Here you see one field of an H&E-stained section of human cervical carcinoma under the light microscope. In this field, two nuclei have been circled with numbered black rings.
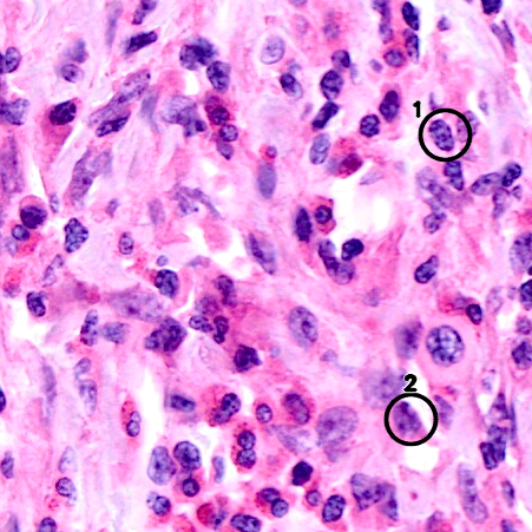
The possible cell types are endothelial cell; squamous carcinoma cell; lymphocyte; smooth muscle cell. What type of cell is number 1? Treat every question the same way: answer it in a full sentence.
What the number 1 marks in this field is a lymphocyte.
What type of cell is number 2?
Identified as an endothelial cell is the cell bearing the number 2.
